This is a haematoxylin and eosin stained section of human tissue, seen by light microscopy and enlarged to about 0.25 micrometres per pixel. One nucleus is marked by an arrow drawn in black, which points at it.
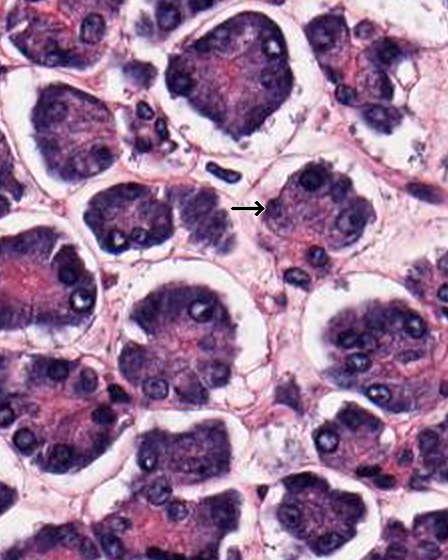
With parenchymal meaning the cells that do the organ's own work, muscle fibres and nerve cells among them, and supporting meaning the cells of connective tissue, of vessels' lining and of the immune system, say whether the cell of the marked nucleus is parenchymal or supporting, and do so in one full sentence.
The marked nucleus is carried by a parenchymal cell, namely a pancreatic acinar cell.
